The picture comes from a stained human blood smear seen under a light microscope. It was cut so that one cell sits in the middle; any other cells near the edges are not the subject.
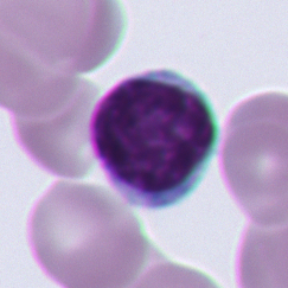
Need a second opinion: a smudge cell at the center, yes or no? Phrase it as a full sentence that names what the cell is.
No, the centre of the crop contains a typical lymphocyte rather than a smudge cell.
